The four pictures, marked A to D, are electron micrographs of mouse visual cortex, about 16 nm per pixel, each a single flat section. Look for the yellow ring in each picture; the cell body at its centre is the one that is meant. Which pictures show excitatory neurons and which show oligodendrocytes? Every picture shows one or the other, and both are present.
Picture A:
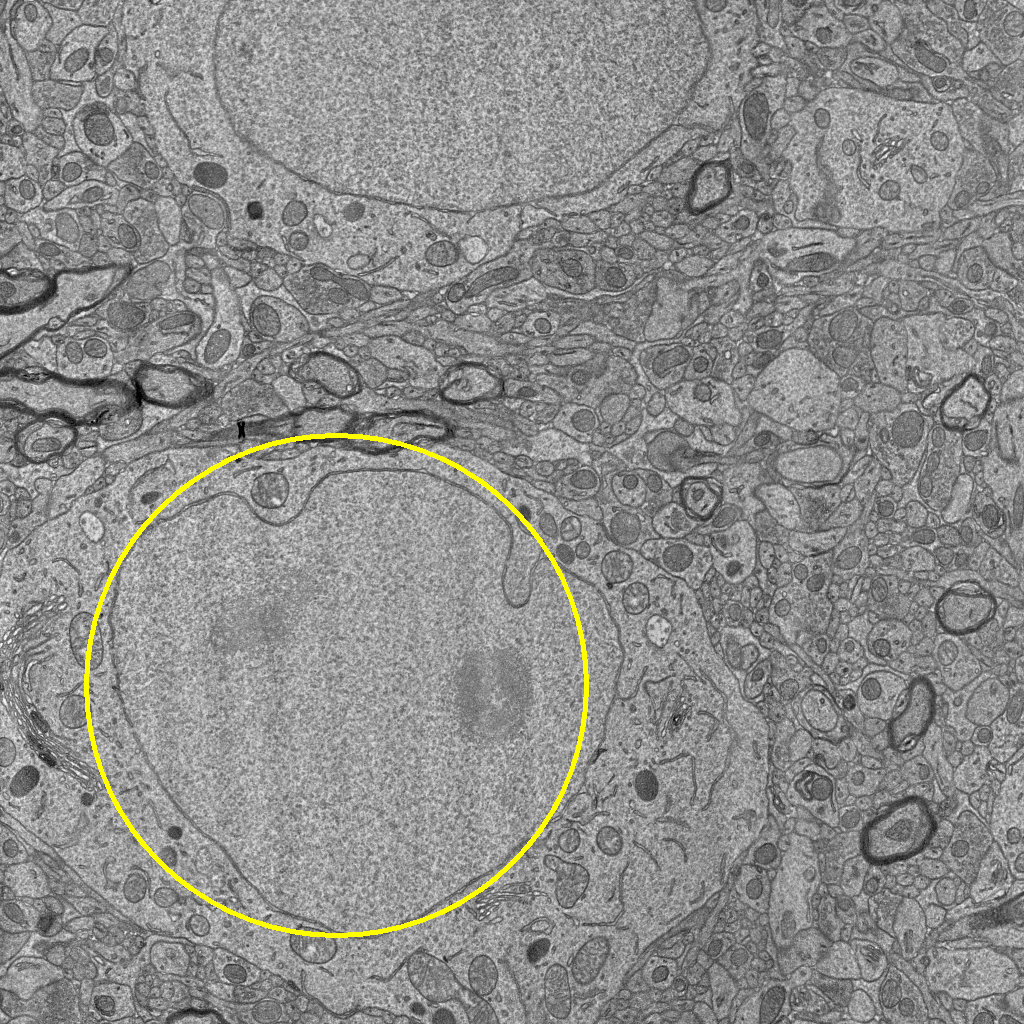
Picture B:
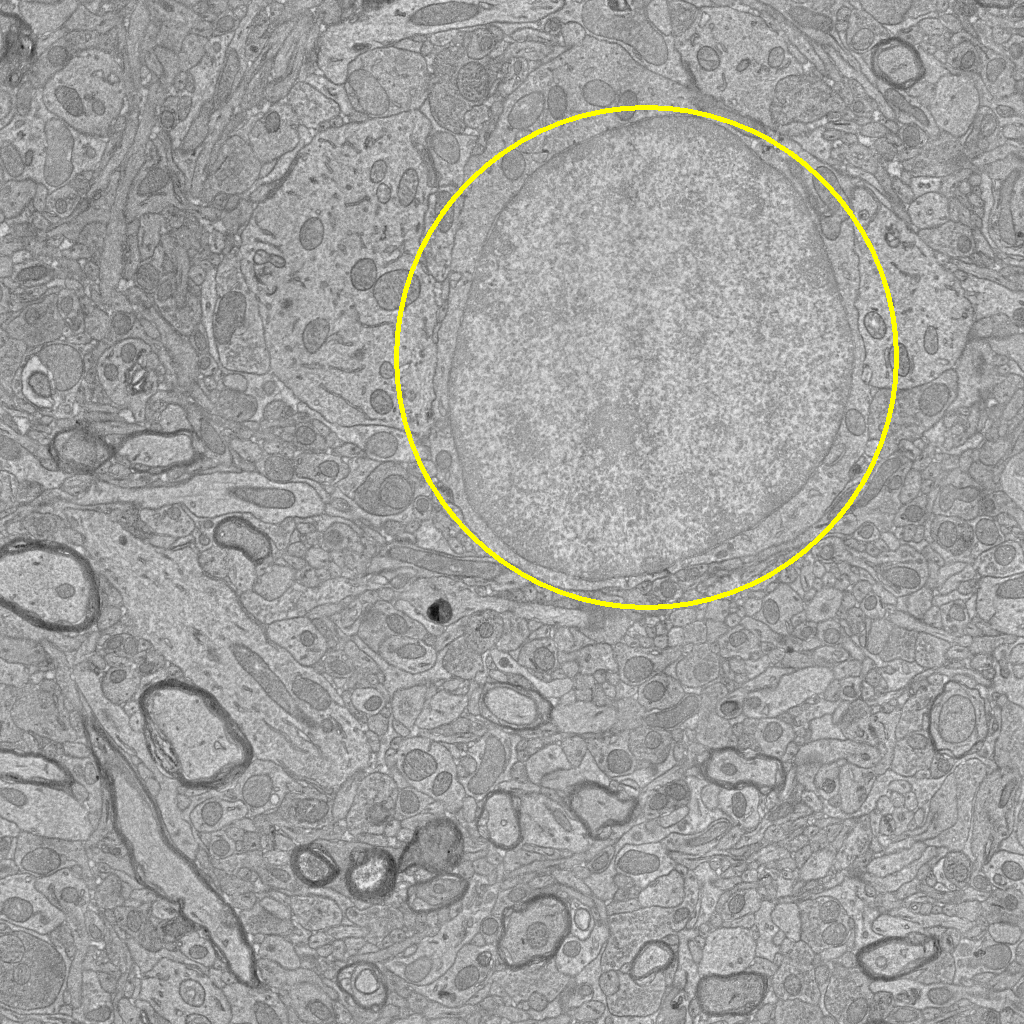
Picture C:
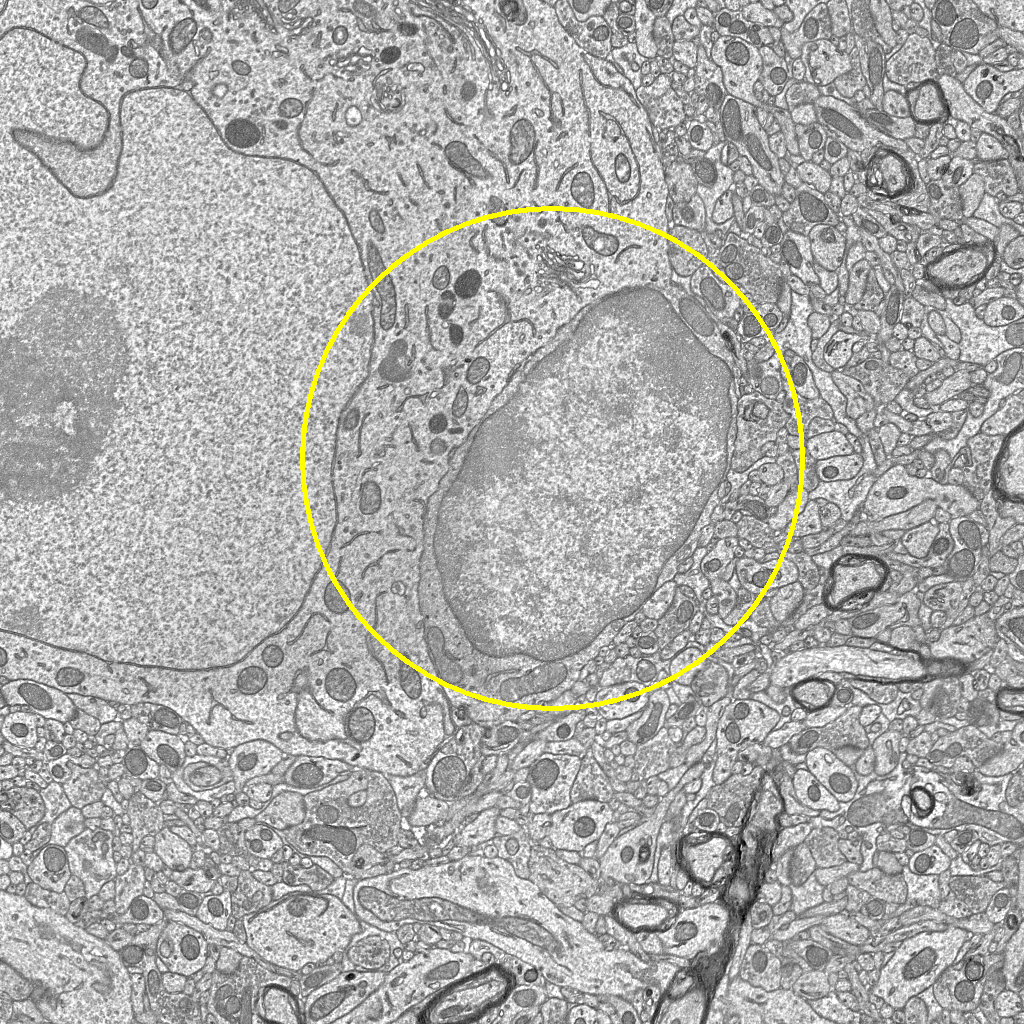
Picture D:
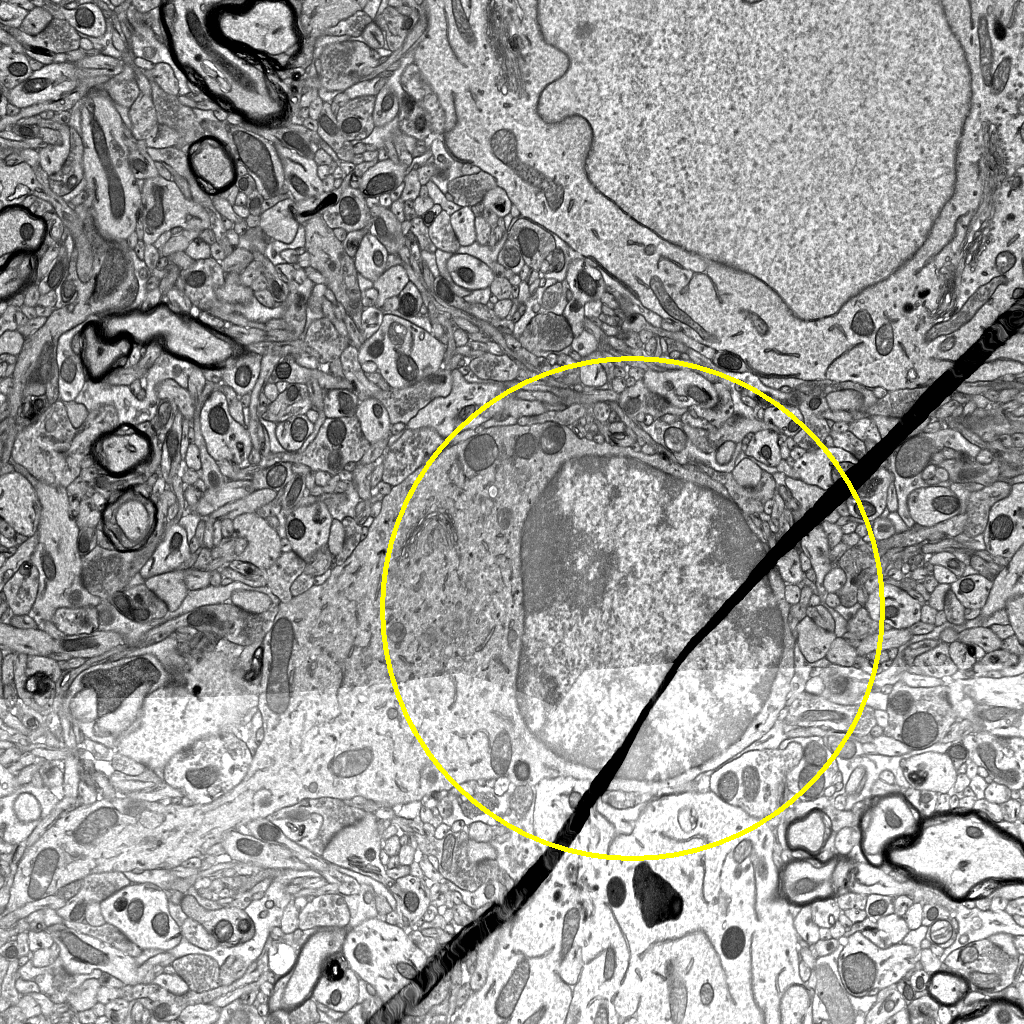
Picture A shows an excitatory neuron, and pictures B, C and D show oligodendrocytes.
